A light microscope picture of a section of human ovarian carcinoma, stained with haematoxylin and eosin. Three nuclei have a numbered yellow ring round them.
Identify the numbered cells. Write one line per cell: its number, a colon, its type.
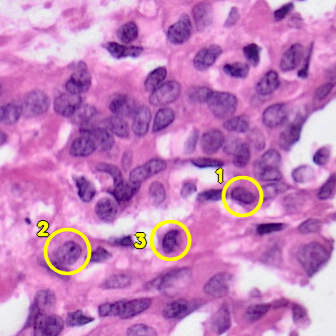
1: carcinoma cell
2: macrophage or monocyte
3: macrophage or monocyte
